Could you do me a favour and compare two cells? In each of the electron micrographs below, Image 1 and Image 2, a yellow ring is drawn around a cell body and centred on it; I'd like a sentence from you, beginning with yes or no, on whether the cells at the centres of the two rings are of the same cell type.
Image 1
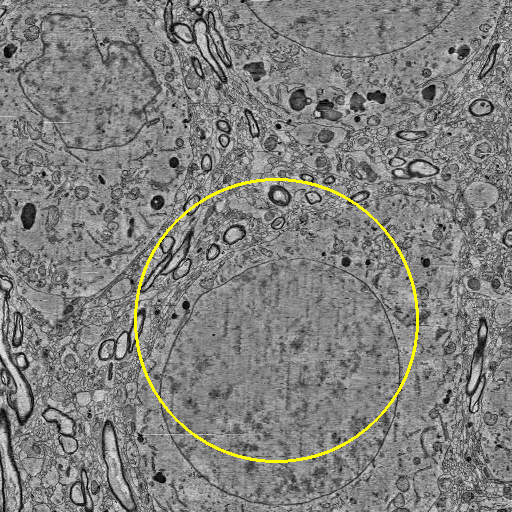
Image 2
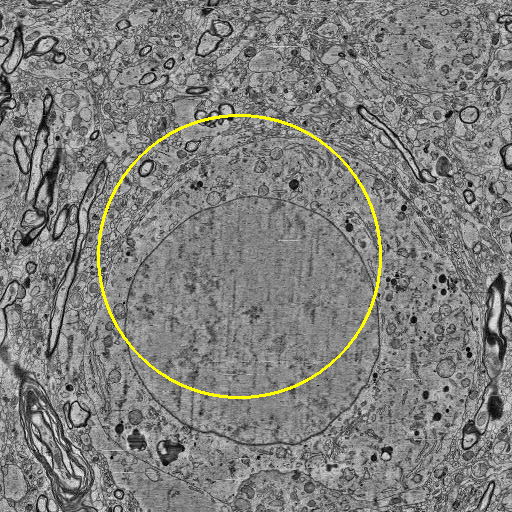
Yes, the two cells are of the same cell type.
